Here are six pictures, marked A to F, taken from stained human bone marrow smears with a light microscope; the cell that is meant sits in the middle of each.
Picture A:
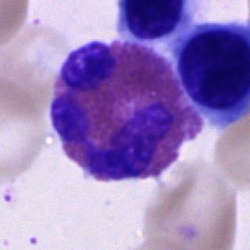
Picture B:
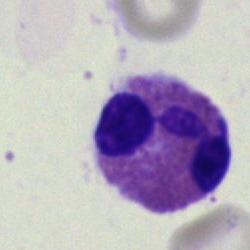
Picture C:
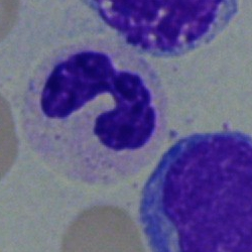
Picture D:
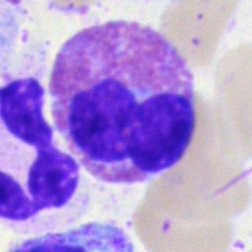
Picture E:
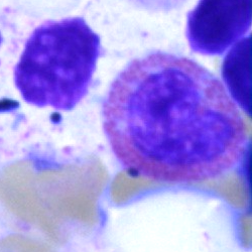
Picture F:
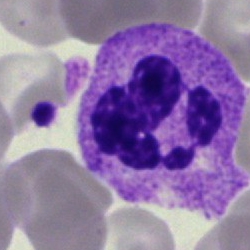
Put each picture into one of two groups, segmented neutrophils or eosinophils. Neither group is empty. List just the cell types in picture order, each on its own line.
eosinophil
eosinophil
segmented neutrophil
eosinophil
eosinophil
segmented neutrophil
